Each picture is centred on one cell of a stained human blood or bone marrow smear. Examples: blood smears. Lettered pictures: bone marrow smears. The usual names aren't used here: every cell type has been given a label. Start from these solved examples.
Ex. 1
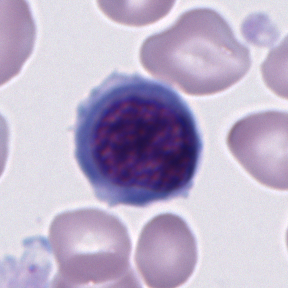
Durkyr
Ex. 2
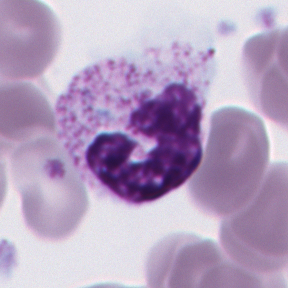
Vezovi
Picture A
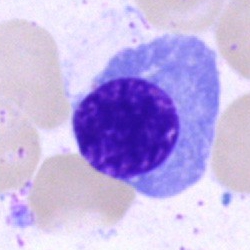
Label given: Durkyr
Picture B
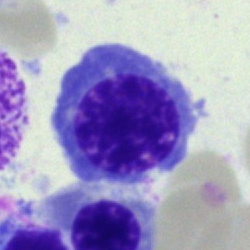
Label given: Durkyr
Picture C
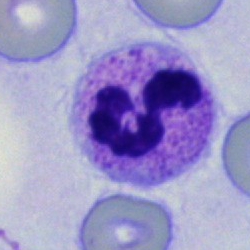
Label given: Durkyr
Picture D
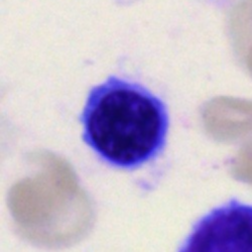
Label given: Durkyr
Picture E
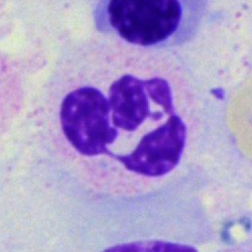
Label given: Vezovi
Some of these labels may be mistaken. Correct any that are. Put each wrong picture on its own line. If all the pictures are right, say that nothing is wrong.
Wrong: C (Durkyr); correct: Vezovi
